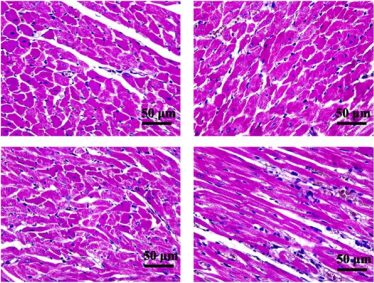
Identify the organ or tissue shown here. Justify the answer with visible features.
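Elongated, branching muscle fibres with pink cytoplasm. The answer: heart.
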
